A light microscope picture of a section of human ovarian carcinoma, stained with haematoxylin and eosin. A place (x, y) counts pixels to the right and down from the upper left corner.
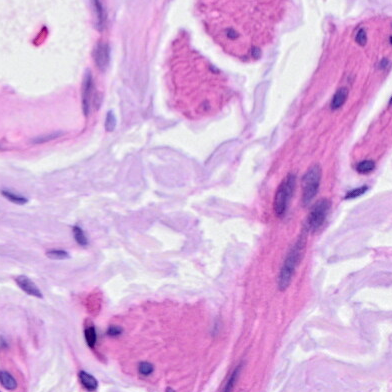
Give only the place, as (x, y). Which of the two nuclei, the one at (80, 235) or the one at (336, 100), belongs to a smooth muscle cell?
(336, 100)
